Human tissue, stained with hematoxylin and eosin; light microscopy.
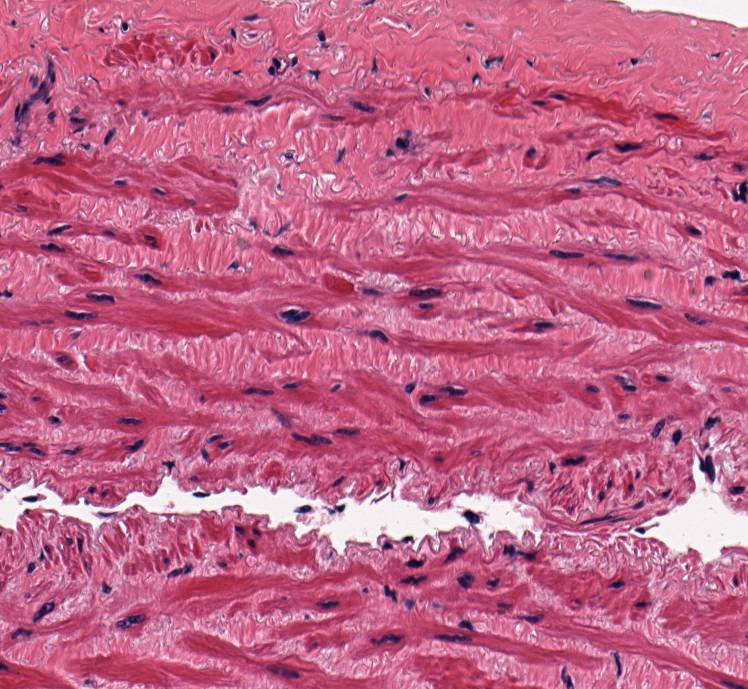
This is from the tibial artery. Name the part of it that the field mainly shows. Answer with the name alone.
tunica media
